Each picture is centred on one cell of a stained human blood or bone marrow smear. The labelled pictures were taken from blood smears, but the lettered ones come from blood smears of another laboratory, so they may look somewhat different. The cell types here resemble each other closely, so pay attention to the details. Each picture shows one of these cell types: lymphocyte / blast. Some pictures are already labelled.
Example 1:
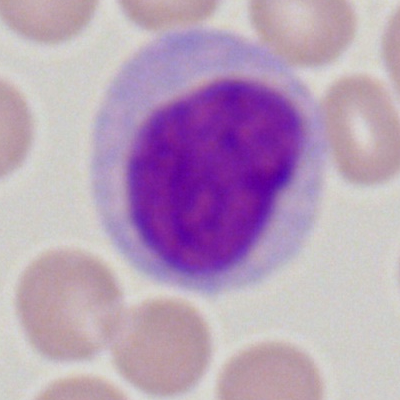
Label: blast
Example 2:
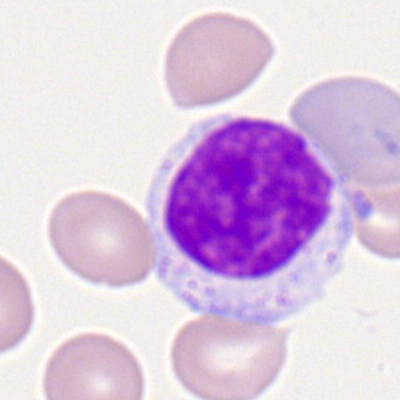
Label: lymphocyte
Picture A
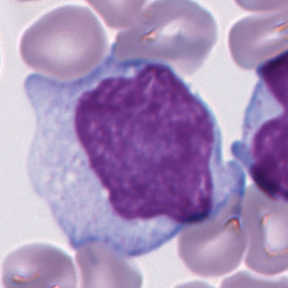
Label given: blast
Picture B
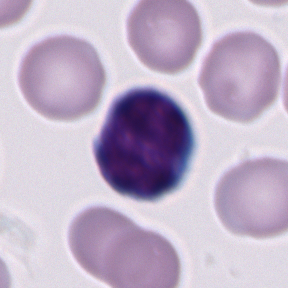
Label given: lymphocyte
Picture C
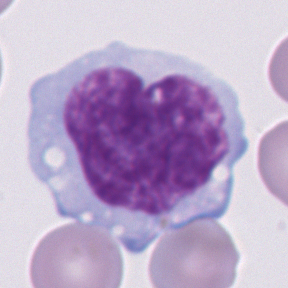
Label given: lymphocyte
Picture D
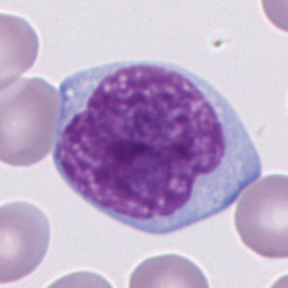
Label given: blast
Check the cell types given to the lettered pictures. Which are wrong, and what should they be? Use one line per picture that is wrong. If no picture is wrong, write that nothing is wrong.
C: change lymphocyte to blast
